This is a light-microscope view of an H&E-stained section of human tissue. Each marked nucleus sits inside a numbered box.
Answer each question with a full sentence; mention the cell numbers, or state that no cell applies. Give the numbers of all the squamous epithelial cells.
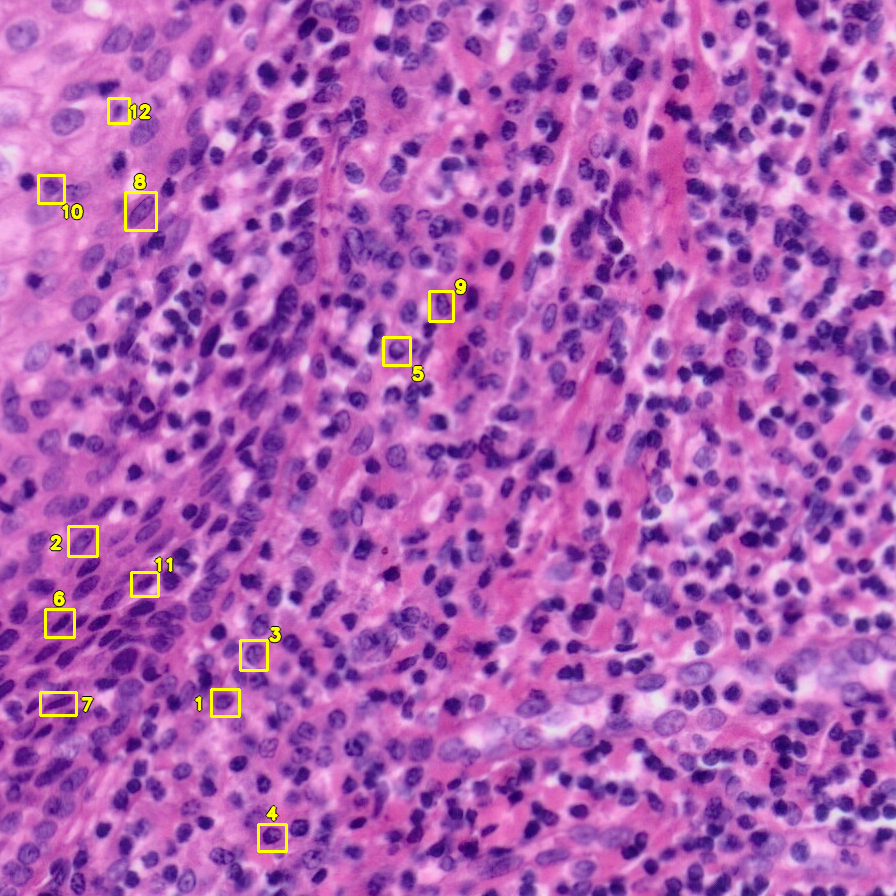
In terms of cell type, cells 2, 6, 7, 8, 10, 11 and 12 are squamous epithelial cells.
